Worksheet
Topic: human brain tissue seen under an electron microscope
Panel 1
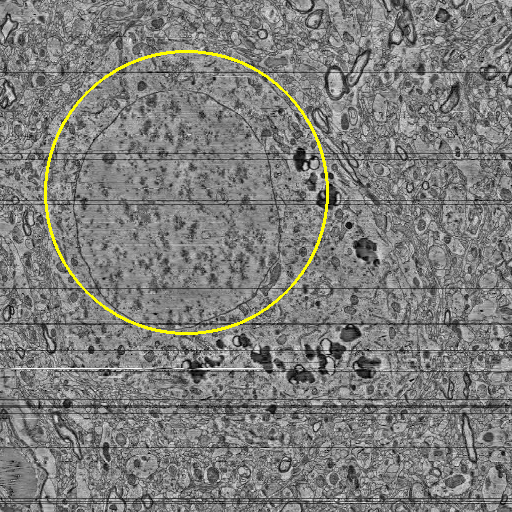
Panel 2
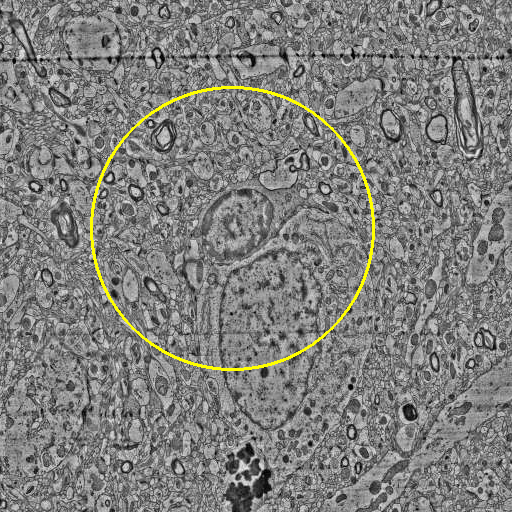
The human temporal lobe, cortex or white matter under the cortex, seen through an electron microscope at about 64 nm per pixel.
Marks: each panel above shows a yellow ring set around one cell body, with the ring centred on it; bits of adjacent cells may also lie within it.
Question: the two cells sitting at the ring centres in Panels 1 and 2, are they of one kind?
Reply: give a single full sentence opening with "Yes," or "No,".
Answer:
No, the two ring-centre cells in Panel 1 and Panel 2 are of two kinds.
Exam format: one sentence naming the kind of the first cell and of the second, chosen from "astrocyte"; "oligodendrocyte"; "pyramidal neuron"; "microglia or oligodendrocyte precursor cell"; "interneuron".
The first picture's cell is a pyramidal neuron, and the second picture's cell is an oligodendrocyte.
